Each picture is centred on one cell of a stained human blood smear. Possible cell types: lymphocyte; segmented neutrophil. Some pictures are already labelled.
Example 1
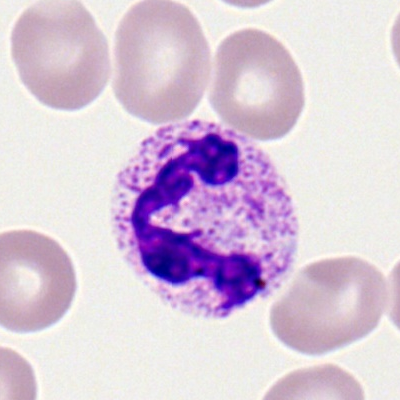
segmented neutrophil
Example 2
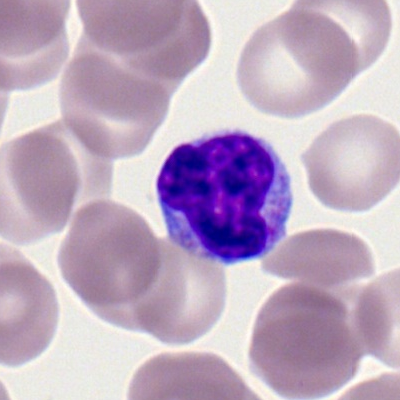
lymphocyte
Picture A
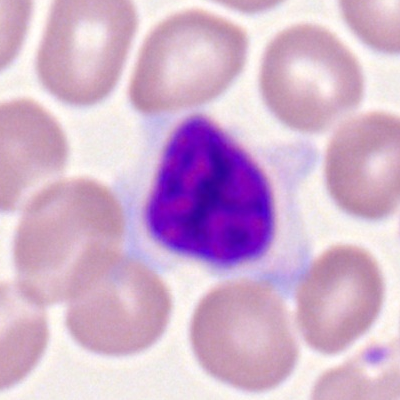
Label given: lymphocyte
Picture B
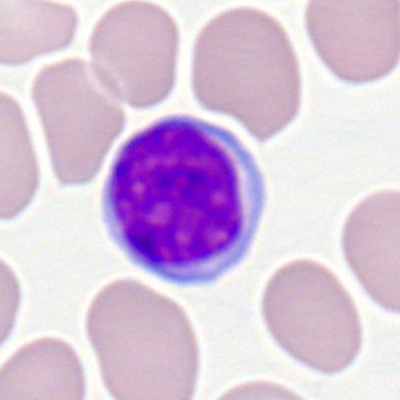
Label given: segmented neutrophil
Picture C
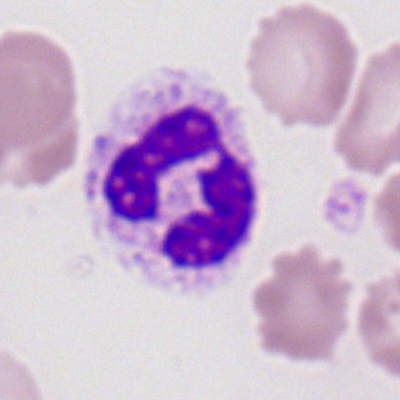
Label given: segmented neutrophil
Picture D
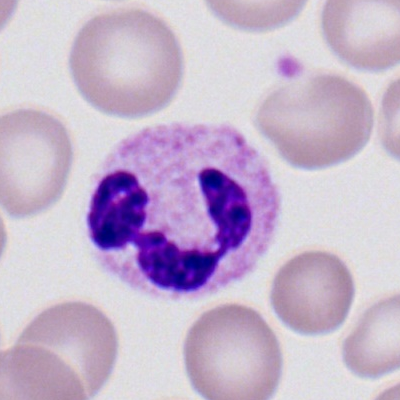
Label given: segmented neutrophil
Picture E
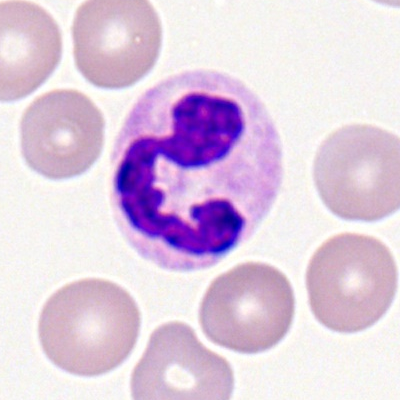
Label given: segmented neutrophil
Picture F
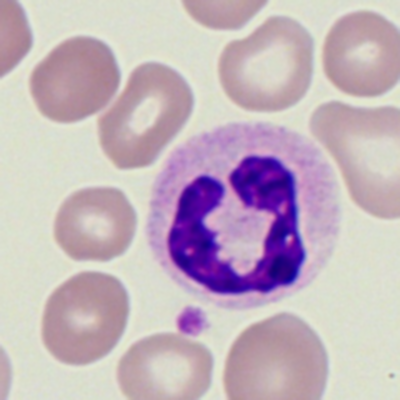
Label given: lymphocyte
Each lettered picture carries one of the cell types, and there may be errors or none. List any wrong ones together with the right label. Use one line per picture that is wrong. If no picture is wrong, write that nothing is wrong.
B is labelled segmented neutrophil; correct label: lymphocyte
F is labelled lymphocyte; correct label: segmented neutrophil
